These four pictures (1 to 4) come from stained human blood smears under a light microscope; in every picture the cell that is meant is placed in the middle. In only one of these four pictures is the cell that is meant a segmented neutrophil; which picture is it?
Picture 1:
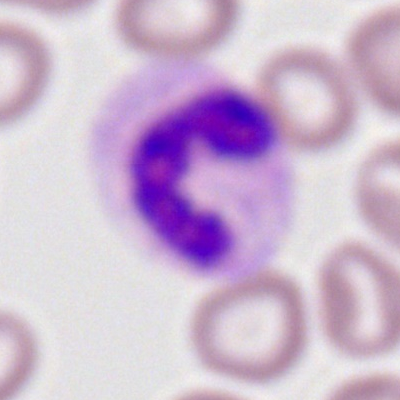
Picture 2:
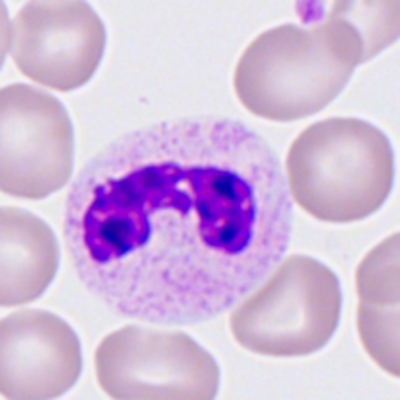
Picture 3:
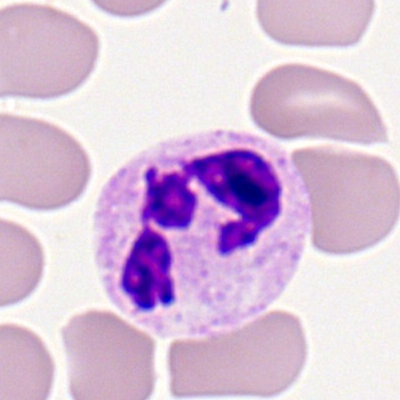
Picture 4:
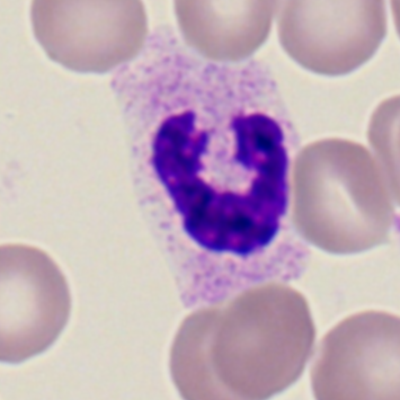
3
